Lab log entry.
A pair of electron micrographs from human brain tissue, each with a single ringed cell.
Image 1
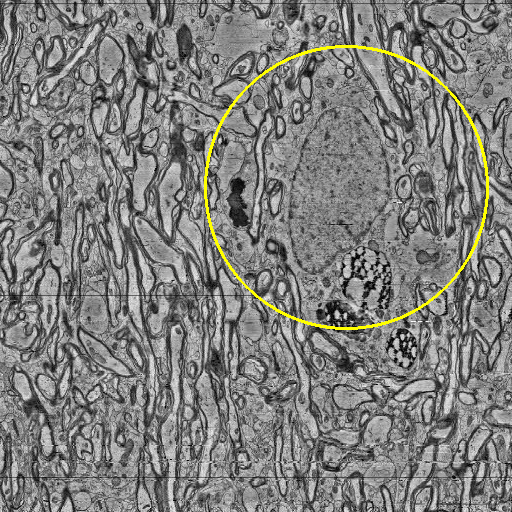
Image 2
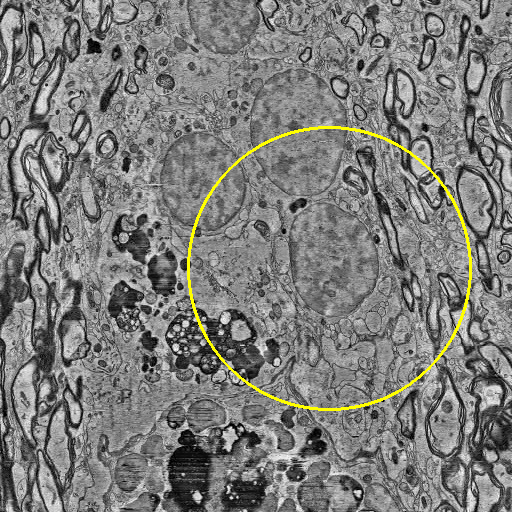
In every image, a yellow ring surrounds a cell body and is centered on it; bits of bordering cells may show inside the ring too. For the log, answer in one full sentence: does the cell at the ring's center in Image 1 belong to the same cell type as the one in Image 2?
No, the cells at the ring centers in Image 1 and Image 2 are of separate types.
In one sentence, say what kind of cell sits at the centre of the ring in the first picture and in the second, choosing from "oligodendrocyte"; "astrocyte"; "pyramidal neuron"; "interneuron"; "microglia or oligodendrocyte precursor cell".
The first picture's ringed cell is an astrocyte, while the second picture's is an oligodendrocyte.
